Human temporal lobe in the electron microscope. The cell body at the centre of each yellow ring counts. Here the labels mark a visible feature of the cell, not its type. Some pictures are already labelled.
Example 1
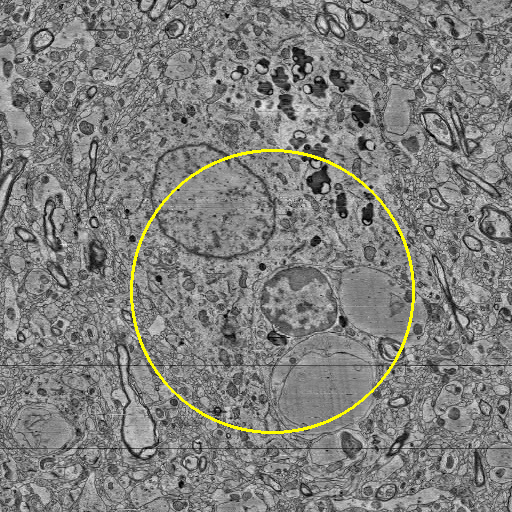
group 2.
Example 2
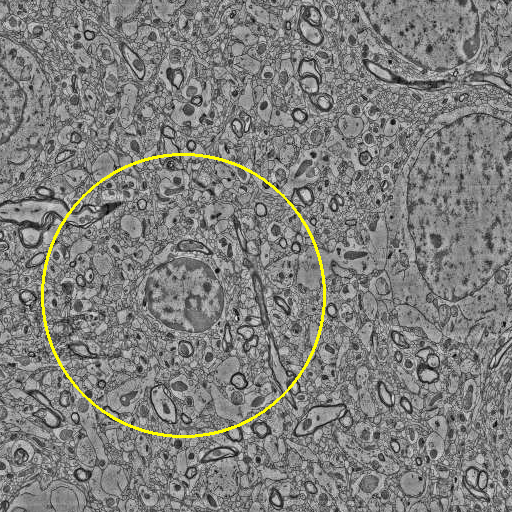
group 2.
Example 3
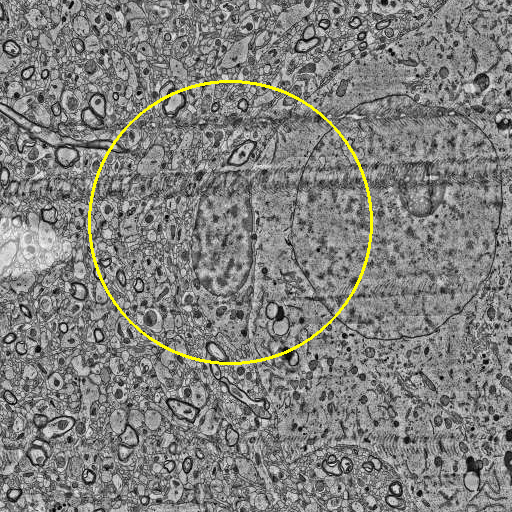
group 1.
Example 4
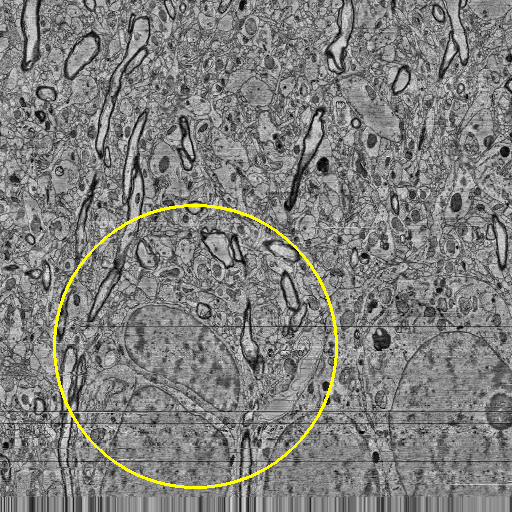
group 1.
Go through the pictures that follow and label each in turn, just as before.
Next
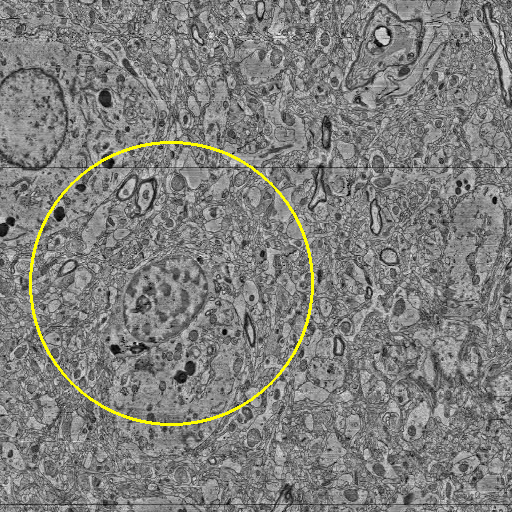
group 2.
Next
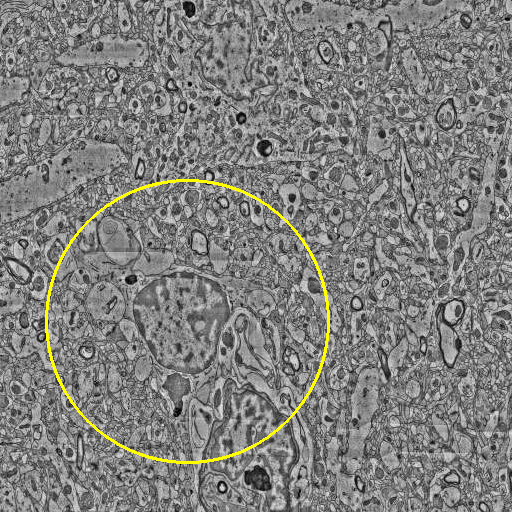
group 2.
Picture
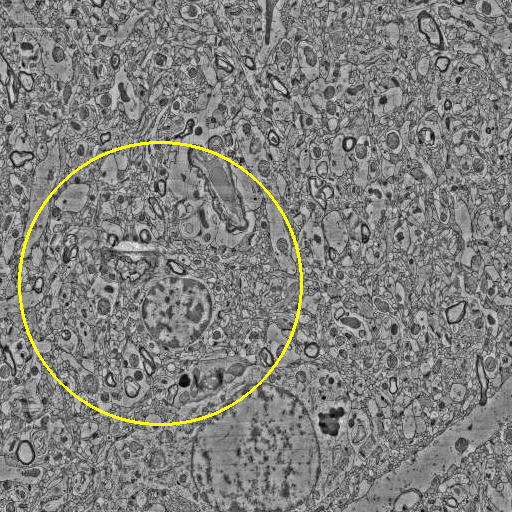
group 2.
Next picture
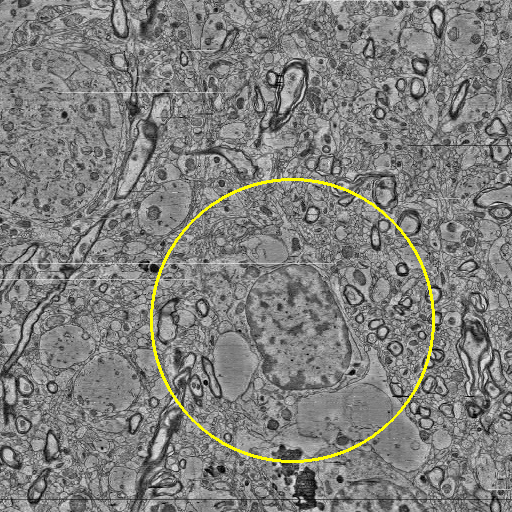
group 2.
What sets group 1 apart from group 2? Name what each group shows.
group 1, clearly elongated nuclei; group 2, round or nearly round nuclei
